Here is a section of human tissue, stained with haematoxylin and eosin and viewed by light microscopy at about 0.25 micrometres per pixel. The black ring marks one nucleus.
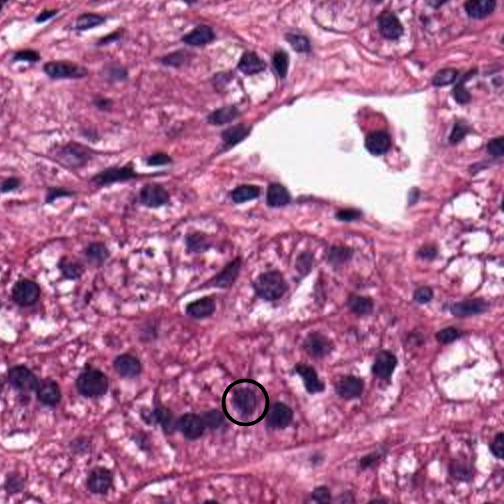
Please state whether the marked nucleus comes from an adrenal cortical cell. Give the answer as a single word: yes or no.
yes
